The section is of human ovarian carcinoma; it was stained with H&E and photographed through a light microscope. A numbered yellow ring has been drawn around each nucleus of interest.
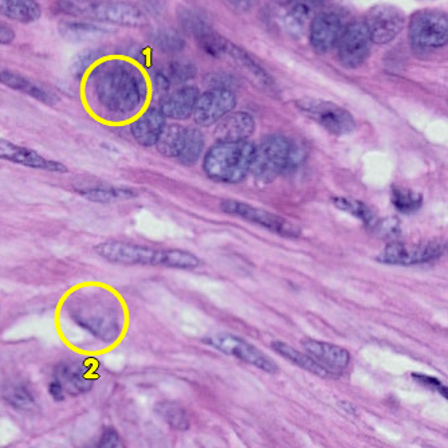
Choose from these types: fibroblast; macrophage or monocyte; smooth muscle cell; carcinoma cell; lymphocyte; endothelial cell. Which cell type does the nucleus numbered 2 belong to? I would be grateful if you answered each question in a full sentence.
Of the numbered cells, the one labelled 2 is a fibroblast.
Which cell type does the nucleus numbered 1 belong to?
In this section, the cell numbered 1 is a carcinoma cell.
